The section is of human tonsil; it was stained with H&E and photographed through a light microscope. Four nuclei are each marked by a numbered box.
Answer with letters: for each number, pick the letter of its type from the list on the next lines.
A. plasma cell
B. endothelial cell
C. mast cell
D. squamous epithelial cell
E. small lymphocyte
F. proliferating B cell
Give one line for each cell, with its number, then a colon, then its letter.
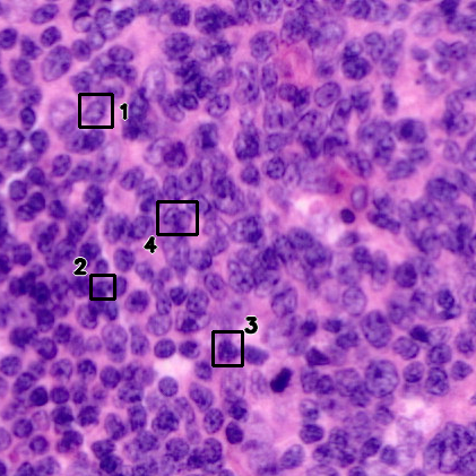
1: F
2: E
3: F
4: F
